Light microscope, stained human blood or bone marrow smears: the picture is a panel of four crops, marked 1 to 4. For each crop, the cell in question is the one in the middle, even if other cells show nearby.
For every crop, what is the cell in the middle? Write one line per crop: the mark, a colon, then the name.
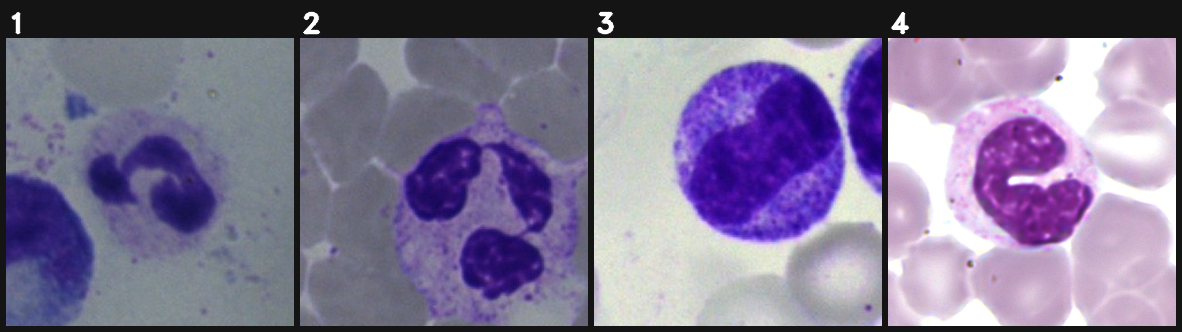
1: segmented neutrophil
2: segmented neutrophil
3: metamyelocyte
4: band neutrophil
